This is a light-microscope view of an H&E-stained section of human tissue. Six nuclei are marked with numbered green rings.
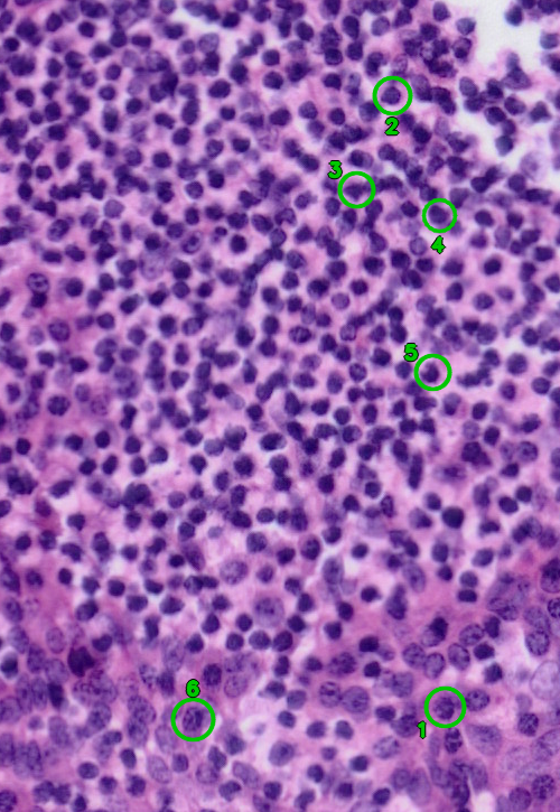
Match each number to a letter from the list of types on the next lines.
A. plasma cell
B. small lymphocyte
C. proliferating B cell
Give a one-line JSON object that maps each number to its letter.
{"1": "A", "2": "B", "3": "B", "4": "B", "5": "B", "6": "A"}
